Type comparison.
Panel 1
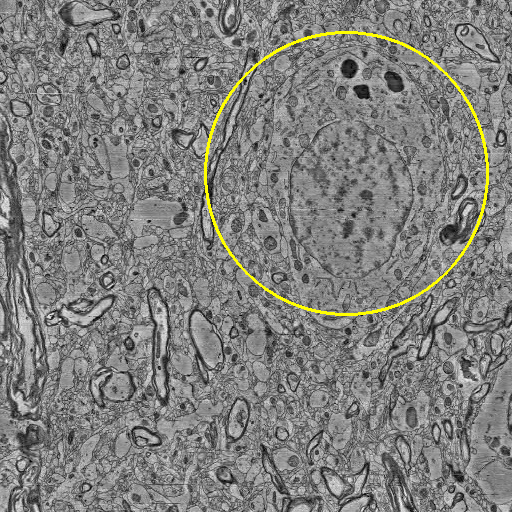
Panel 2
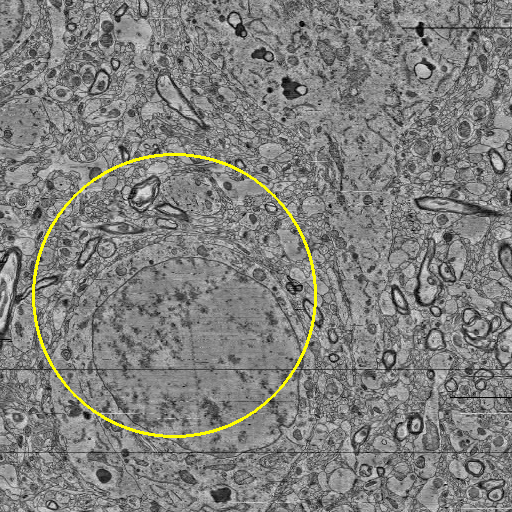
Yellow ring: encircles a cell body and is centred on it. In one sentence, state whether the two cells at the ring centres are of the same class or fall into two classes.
In these panels, the two cells at the ring centres fall into two classes.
